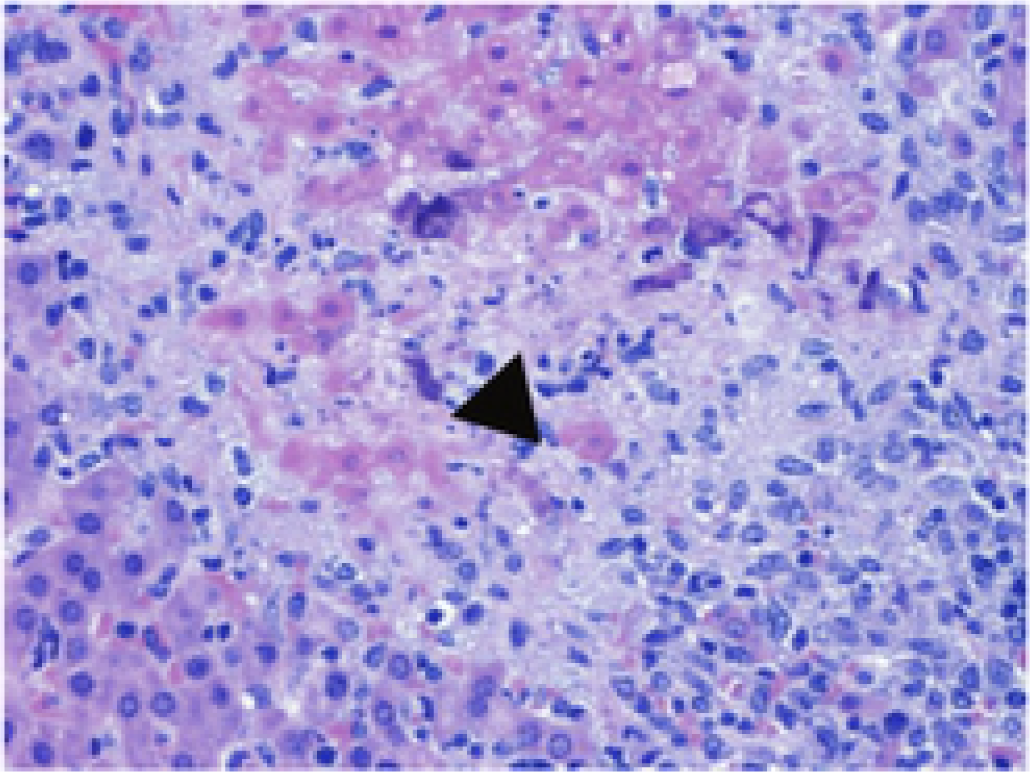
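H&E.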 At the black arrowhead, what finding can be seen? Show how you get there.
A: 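The arrowhead points into an area where cell outlines are lost. Pale, smudged pink material with scattered dark nuclear fragments. Intact liver cells lie at the lower left edge of the area.
Hence: necrosis.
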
